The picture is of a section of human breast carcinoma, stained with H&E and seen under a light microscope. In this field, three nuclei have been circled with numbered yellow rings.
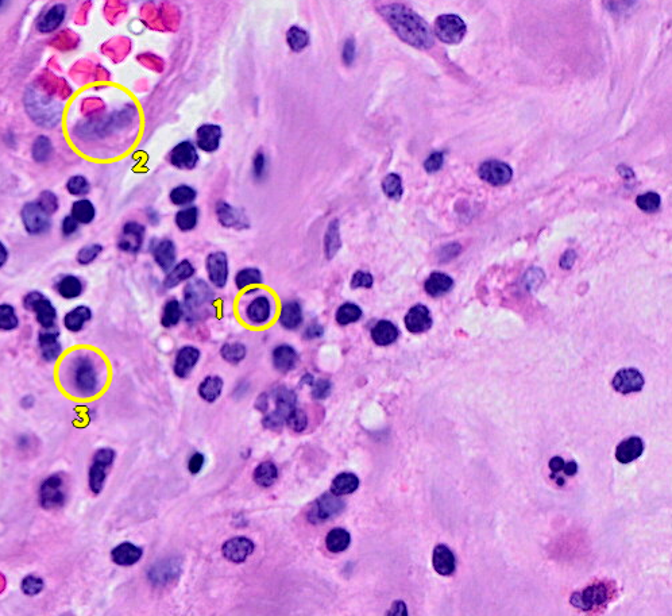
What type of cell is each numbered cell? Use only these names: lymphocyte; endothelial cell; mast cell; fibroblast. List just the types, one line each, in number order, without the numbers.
lymphocyte
endothelial cell
mast cell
